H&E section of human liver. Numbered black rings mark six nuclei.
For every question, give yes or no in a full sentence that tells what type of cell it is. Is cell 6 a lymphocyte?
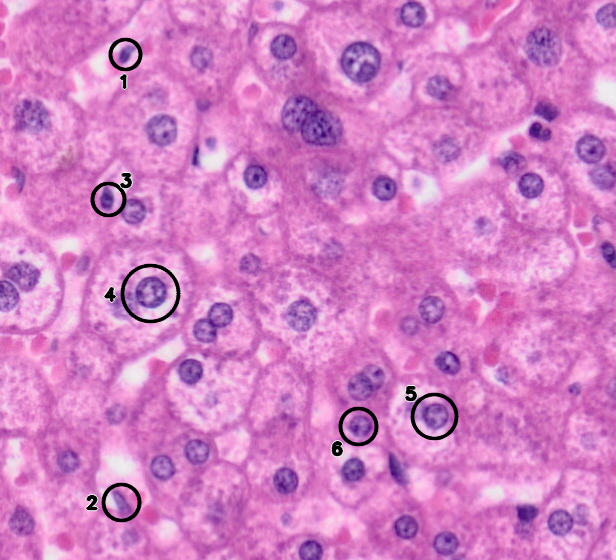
No, cell 6, which is a hepatocyte, is not a lymphocyte.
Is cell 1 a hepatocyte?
No, number 1 corresponds to a lymphocyte, not a hepatocyte.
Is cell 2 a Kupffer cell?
Yes, number 2 marks a cell that is a Kupffer cell.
